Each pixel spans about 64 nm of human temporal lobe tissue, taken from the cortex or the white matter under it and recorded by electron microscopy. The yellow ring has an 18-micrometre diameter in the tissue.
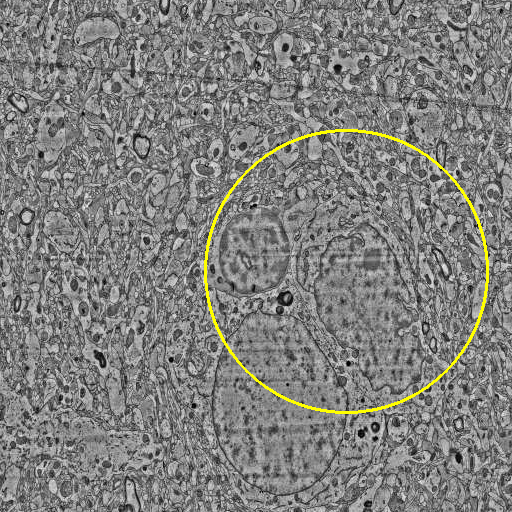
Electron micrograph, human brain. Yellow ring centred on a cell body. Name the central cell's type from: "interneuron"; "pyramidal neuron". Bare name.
interneuron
